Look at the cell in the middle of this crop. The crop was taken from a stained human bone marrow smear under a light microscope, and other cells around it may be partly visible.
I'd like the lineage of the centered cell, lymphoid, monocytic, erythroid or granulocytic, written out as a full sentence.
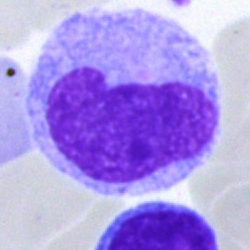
The lineage to which the central cell belongs is the monocytic lineage.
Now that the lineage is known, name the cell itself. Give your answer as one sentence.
The middle position in this crop is taken by a monocyte.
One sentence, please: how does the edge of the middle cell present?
No projections interrupt the outline; it is smooth all the way round.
